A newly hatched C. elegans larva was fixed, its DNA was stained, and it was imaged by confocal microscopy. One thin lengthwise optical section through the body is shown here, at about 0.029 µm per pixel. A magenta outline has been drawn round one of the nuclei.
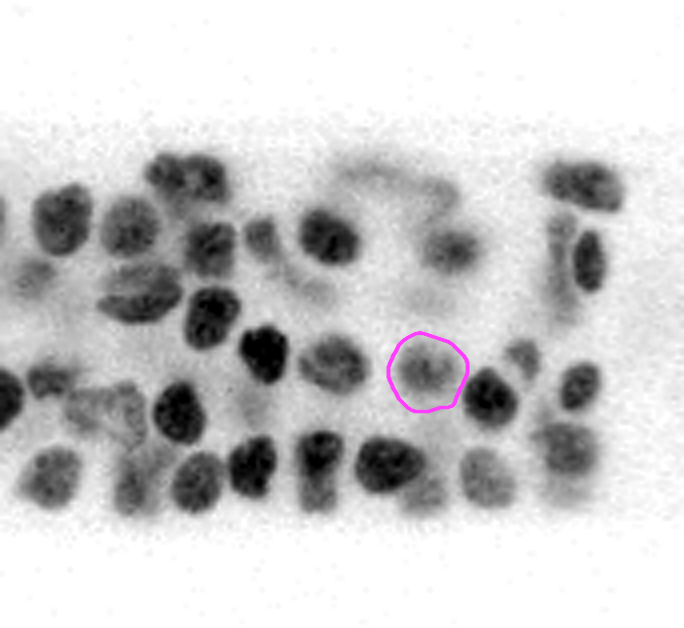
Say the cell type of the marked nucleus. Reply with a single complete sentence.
It belongs to a pharyngeal muscle cell.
